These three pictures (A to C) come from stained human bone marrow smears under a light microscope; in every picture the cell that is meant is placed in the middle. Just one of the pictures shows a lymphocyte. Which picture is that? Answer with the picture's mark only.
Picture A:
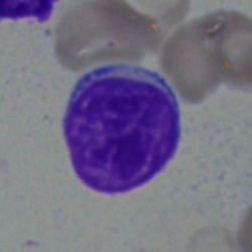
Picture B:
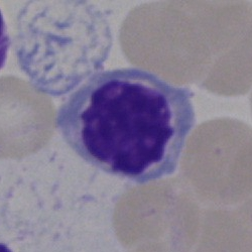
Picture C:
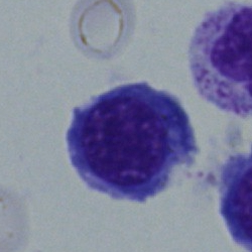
A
